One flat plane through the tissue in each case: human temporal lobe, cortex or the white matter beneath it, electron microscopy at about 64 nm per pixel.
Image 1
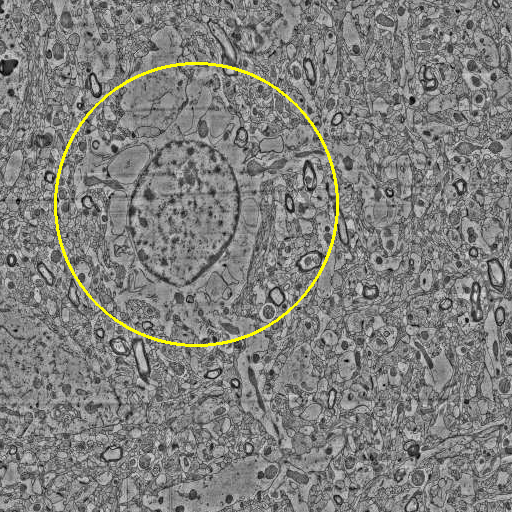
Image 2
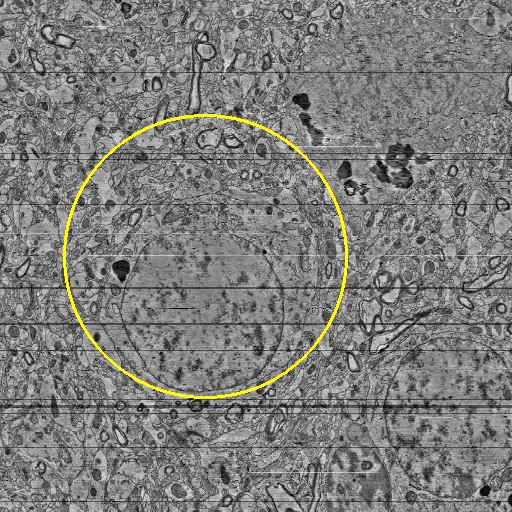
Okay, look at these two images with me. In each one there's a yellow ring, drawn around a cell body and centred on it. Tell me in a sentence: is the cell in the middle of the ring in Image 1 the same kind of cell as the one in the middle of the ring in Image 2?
No, they're two kinds of cell.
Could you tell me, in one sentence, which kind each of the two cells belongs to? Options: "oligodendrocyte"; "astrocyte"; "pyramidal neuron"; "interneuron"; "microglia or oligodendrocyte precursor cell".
At the centre of the first ring sits an astrocyte, and at the centre of the second sits a pyramidal neuron.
